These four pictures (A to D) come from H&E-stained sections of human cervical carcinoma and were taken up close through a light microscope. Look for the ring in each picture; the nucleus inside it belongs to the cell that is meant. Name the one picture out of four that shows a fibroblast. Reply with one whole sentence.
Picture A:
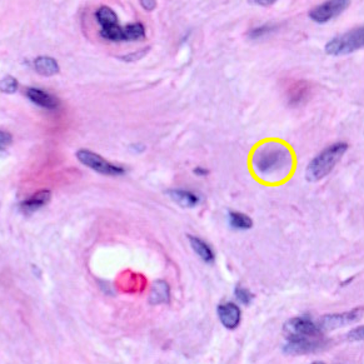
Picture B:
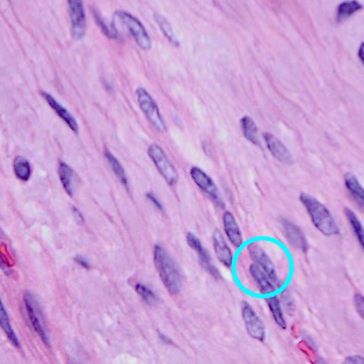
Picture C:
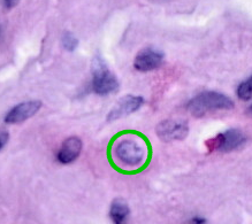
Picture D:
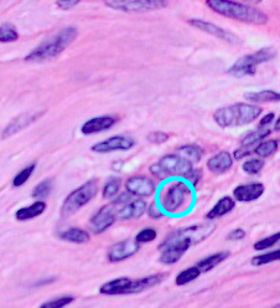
The picture with the fibroblast is A.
